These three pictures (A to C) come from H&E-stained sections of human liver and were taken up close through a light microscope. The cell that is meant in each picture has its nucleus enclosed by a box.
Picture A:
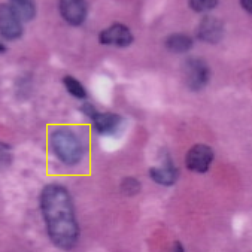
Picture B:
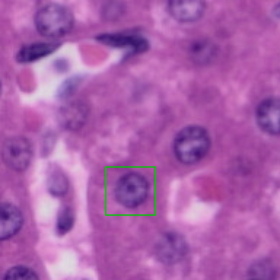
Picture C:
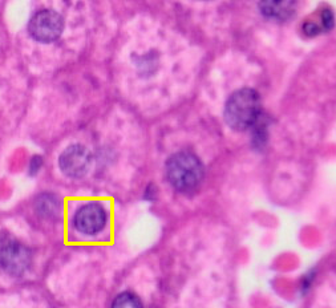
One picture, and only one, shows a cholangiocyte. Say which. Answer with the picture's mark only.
A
